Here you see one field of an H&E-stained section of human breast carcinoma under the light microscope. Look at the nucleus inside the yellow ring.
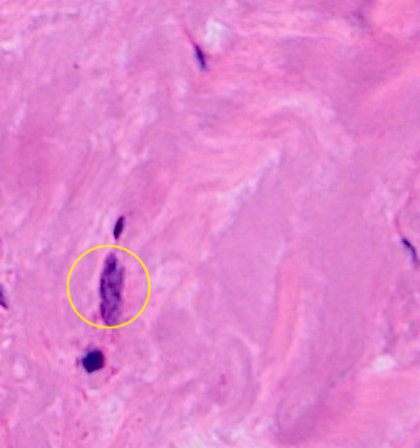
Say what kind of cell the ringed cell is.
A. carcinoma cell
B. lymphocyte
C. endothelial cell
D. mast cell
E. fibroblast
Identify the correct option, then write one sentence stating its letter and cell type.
Option E is the right choice, for the ringed cell is a fibroblast.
